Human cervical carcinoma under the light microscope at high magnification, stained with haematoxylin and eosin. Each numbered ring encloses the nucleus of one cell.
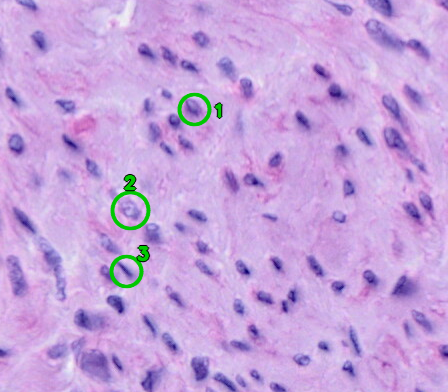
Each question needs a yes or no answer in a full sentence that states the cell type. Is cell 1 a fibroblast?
No, it's not a fibroblast at number 1; that cell is a smooth muscle cell.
